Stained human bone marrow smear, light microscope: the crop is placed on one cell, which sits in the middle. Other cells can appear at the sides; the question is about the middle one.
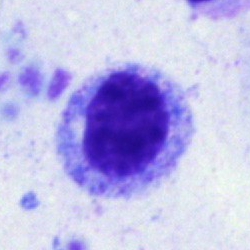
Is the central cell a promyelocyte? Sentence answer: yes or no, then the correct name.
No, the label for the central cell is a myelocyte, not a promyelocyte.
